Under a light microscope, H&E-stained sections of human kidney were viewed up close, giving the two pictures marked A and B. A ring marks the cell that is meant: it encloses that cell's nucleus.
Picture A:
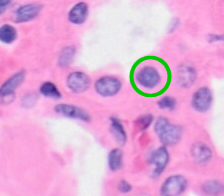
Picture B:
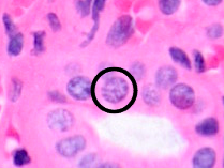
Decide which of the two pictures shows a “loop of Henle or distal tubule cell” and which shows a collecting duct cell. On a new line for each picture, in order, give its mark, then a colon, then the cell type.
A: loop of Henle or distal tubule cell
B: collecting duct cell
